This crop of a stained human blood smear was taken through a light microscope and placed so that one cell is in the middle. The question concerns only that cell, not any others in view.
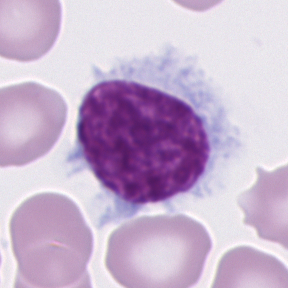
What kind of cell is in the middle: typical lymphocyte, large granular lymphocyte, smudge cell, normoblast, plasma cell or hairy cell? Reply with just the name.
hairy cell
